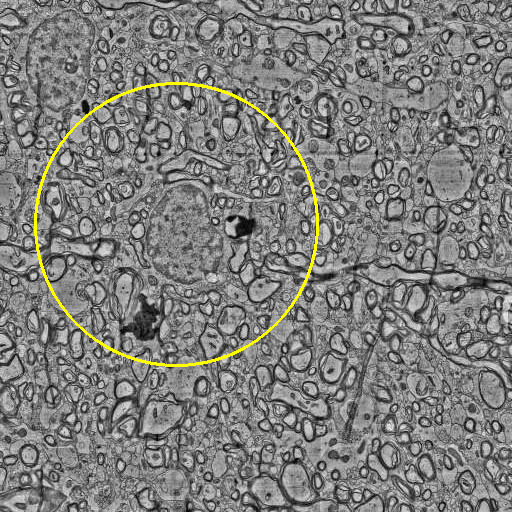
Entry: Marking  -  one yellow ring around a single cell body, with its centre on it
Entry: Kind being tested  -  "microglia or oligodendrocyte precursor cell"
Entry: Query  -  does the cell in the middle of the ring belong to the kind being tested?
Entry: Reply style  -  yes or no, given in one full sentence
No, the centred cell within the ring in the picture belongs to a different kind.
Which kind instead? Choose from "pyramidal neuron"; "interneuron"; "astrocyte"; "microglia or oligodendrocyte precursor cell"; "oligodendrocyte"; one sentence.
Instead, what sits at the centre of the ring is an oligodendrocyte.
